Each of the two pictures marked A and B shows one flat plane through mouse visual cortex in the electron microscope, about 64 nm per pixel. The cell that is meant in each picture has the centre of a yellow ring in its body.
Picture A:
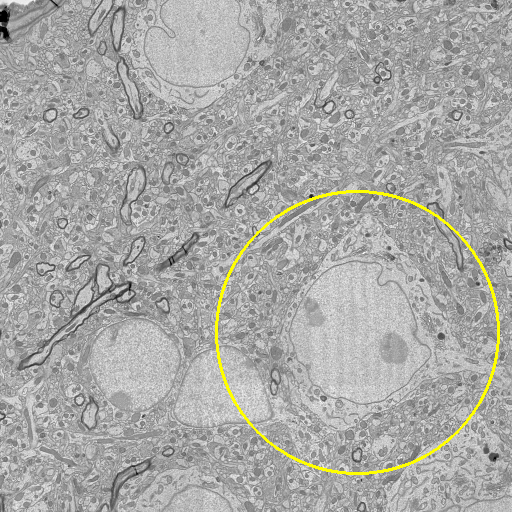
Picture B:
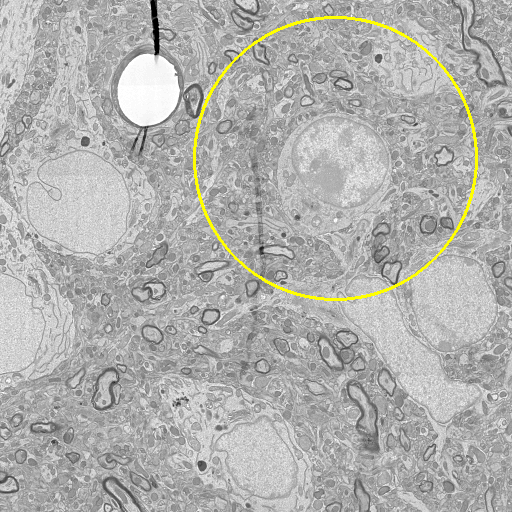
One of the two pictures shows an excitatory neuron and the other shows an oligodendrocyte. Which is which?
The cell in picture A is an excitatory neuron, and the one in picture B is an oligodendrocyte.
